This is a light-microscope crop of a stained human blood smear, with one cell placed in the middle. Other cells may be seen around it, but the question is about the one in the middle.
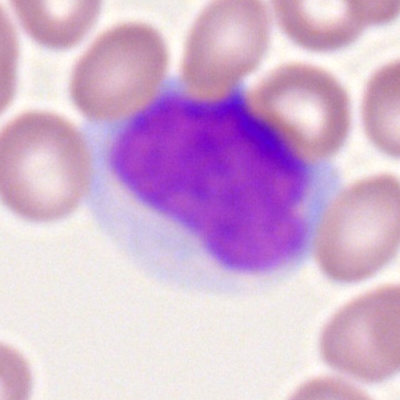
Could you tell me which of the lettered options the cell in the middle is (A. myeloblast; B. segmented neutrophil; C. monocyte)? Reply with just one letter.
C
